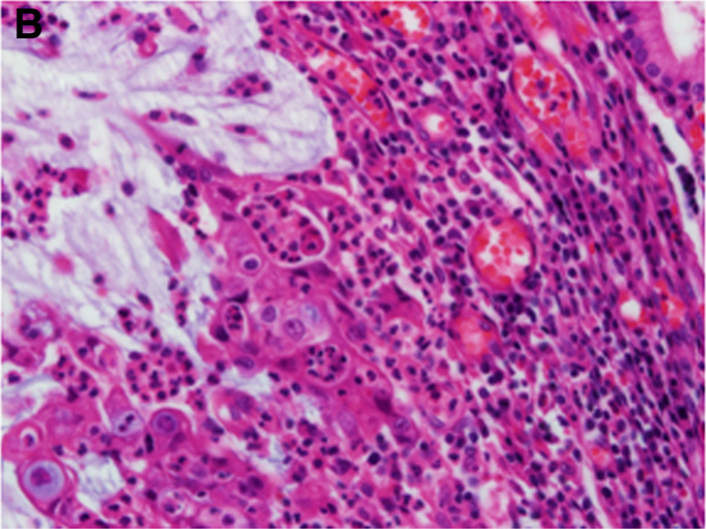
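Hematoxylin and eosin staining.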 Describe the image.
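This high-power view shows large tumor cells of an adenocarcinoma lying in a stroma packed with inflammatory cells. The tumor cells have abundant pink cytoplasm and enlarged, round, pale nuclei with distinct dark nucleoli. Around them crowd many small cells with dense dark nuclei, and blood vessels filled with red cells are seen in the stroma. Pale bluish mucinous material lies at the upper left.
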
